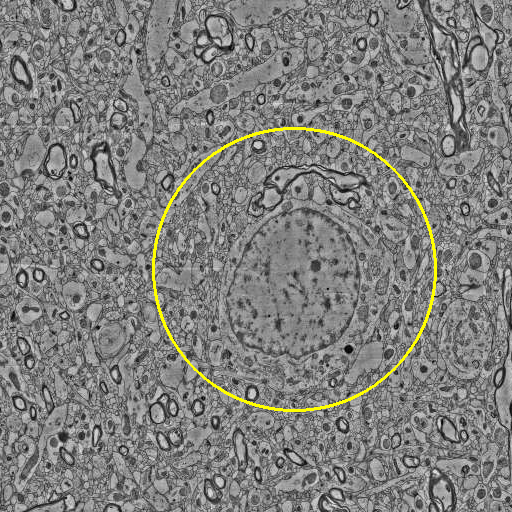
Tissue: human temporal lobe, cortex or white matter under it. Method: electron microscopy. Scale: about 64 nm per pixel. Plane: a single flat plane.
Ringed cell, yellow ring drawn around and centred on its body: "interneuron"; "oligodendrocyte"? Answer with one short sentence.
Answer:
This ringed cell is an interneuron.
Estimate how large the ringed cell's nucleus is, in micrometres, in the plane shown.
Approximately 10 micrometres long and 8 micrometres wide, in this plane.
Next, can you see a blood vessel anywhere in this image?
No, the picture includes no blood vessel.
